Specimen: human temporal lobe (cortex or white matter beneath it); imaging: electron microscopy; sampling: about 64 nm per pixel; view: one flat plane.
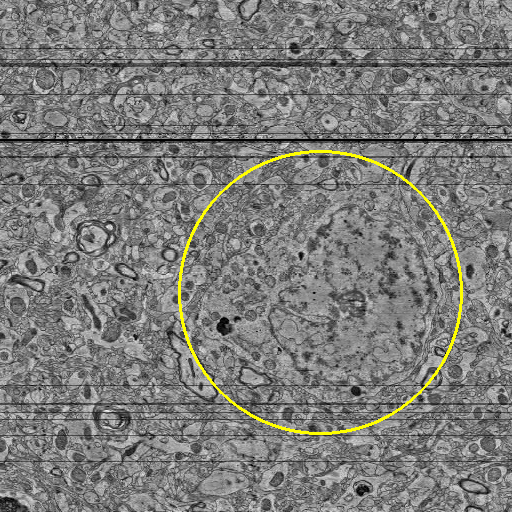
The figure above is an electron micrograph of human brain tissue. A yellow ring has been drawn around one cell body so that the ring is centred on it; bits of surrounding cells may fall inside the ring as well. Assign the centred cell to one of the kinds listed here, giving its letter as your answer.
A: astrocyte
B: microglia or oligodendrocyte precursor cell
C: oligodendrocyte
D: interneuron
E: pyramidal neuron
D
